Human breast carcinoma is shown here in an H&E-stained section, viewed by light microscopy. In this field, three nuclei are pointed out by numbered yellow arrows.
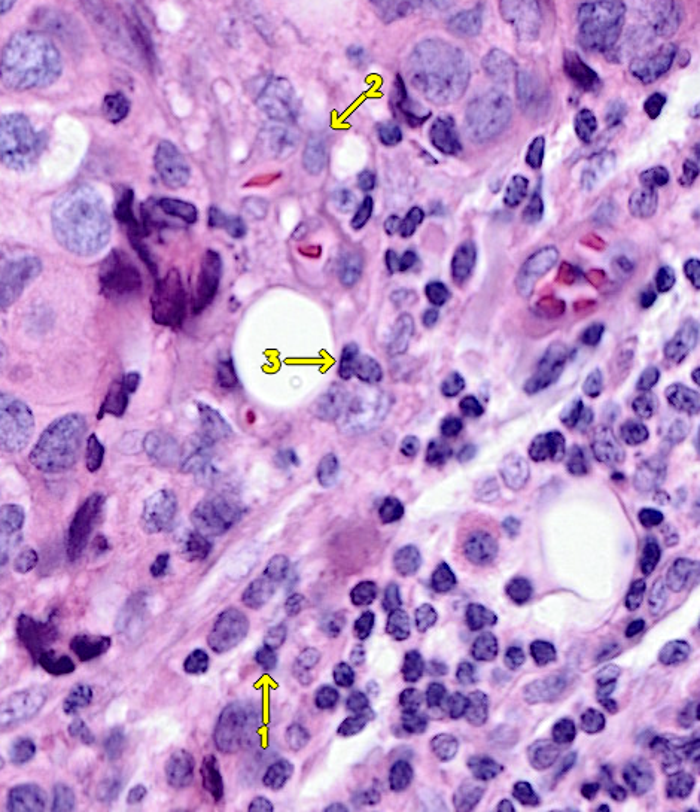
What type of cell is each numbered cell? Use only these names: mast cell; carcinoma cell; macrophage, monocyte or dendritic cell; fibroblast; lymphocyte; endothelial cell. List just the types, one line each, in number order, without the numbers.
lymphocyte
endothelial cell
lymphocyte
